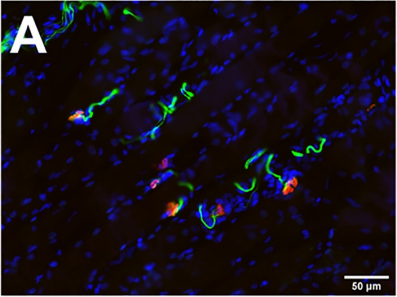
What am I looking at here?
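This is a longitudinal section of skeletal muscle showing neuromuscular junctions. Elongated blue nuclei lie lined up along the length of the fibers, which run diagonally across the field.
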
